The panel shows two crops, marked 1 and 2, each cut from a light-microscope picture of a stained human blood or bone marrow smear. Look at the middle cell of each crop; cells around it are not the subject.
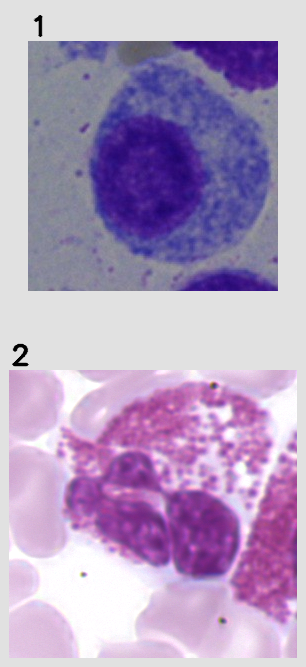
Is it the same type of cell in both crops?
no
